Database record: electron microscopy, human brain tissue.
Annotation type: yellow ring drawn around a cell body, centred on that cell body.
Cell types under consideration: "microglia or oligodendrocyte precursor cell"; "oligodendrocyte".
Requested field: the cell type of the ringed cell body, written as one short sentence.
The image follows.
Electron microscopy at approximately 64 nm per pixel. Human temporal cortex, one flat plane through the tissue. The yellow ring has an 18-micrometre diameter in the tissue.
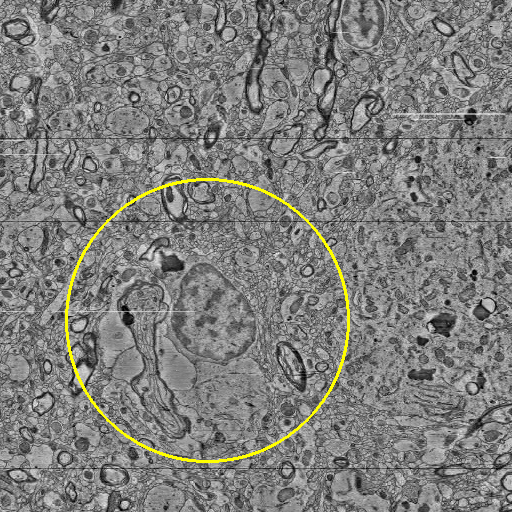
The ringed cell body represents an oligodendrocyte.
